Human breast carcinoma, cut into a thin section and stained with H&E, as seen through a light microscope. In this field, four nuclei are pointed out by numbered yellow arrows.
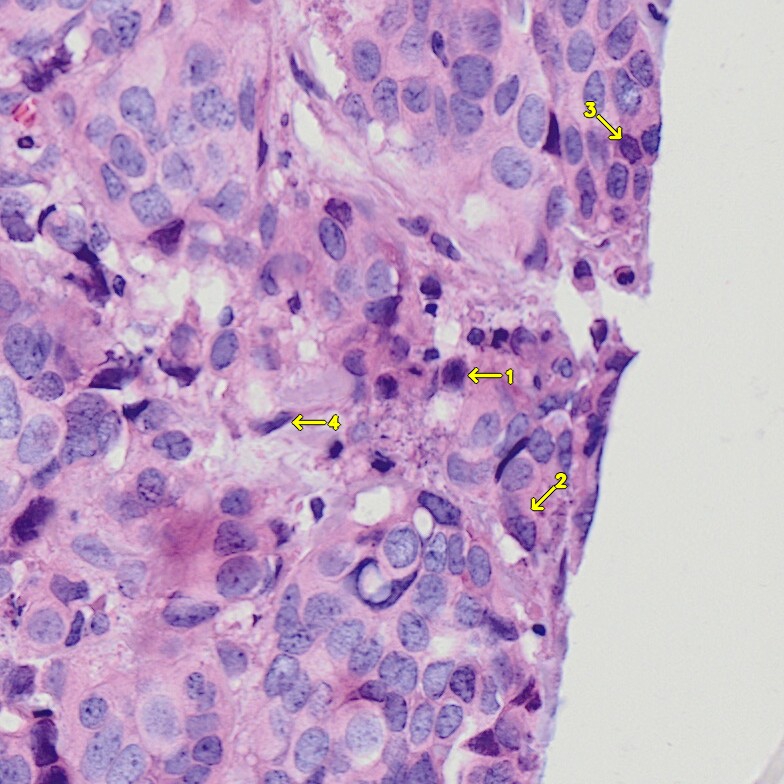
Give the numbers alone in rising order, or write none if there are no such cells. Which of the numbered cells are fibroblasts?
4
